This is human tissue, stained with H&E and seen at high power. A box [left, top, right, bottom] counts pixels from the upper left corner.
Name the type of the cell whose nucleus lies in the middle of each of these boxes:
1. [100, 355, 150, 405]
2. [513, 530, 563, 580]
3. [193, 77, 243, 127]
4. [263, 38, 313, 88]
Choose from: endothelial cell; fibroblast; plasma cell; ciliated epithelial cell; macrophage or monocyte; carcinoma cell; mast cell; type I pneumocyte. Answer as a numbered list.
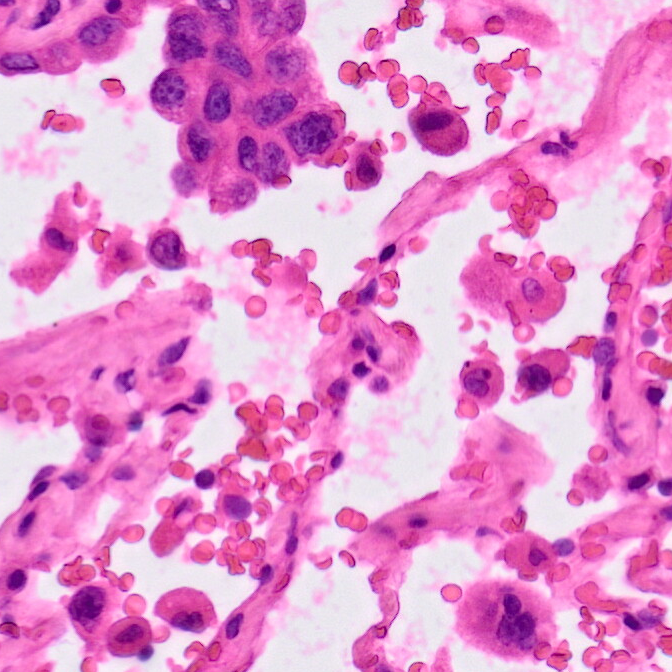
1. fibroblast
2. macrophage or monocyte
3. carcinoma cell
4. carcinoma cell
